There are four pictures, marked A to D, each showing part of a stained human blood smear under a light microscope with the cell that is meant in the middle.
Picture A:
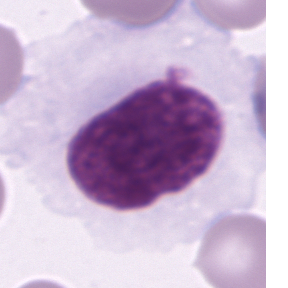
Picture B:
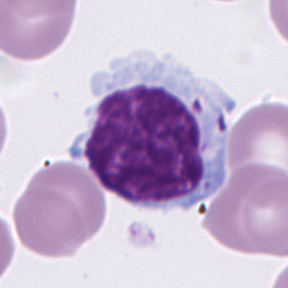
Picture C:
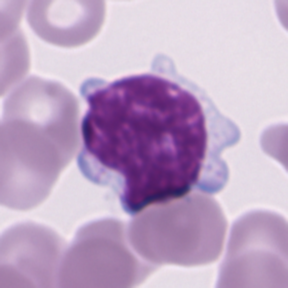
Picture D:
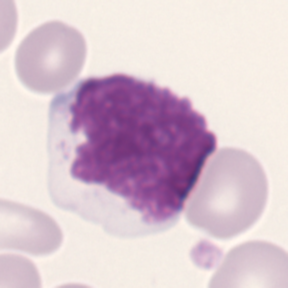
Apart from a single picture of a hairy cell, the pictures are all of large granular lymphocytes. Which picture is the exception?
A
